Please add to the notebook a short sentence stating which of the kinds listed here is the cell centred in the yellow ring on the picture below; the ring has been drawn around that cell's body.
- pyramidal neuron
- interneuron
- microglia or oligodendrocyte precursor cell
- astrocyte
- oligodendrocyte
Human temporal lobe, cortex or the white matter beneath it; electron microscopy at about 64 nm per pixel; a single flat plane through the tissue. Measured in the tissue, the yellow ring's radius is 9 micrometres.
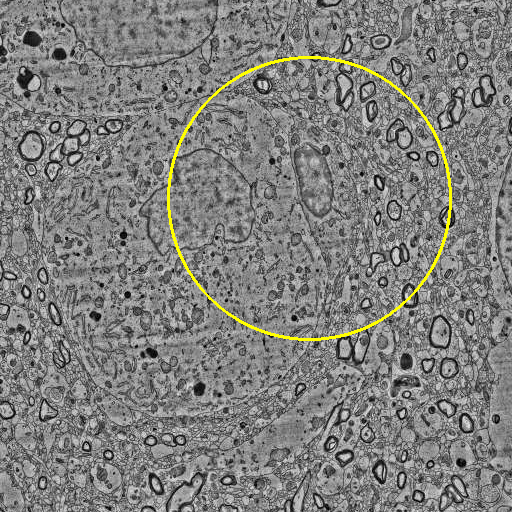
The cell centred in the yellow ring is an oligodendrocyte.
